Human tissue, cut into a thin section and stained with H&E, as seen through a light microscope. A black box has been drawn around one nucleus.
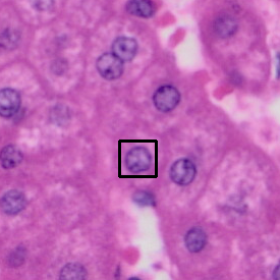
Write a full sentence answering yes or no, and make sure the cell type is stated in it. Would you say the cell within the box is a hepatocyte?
Yes, when classified by type, the cell within the box is a hepatocyte.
